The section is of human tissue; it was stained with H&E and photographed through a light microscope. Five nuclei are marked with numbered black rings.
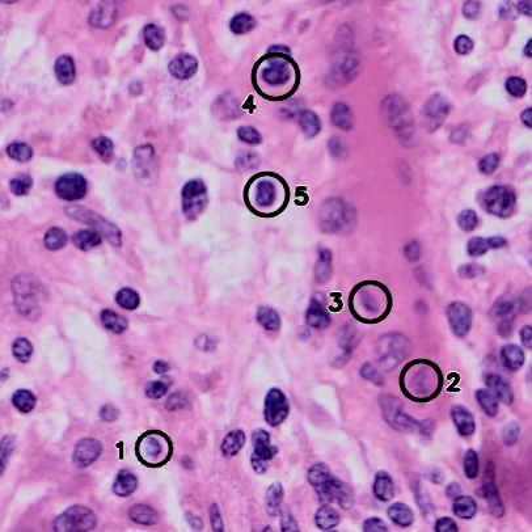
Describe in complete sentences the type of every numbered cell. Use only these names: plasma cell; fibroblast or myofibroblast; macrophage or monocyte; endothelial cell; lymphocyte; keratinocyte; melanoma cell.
Cell 1 is a lymphocyte, cell 2 is an endothelial cell, cell 3 is an endothelial cell, cell 4 is a lymphocyte and cell 5 is a lymphocyte.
